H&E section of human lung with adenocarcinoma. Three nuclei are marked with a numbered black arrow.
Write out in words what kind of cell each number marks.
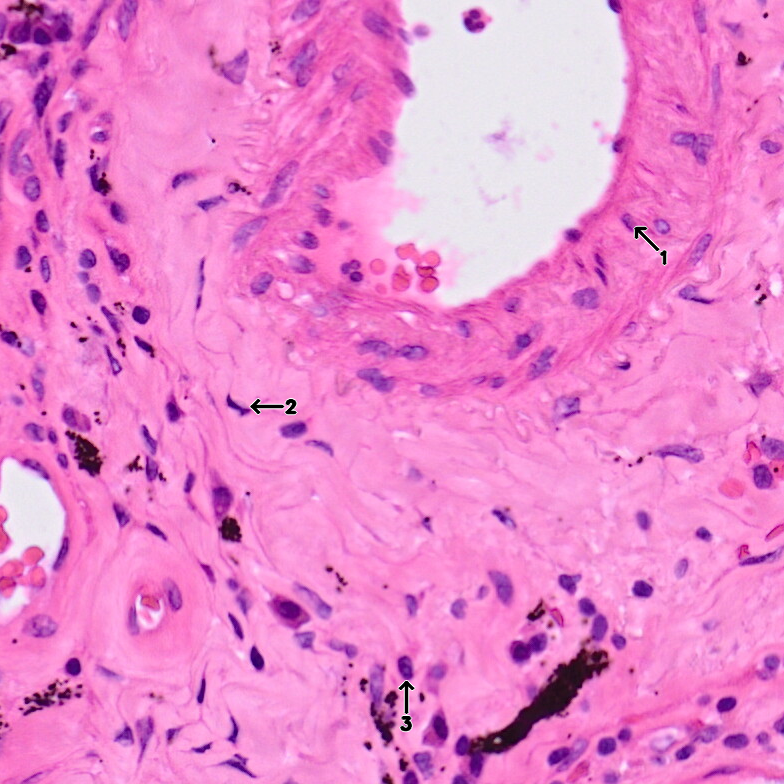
Cell 1 is a smooth muscle cell or pericyte, cell 2 is a fibroblast and cell 3 is a mast cell.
